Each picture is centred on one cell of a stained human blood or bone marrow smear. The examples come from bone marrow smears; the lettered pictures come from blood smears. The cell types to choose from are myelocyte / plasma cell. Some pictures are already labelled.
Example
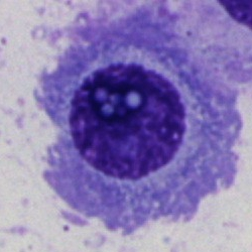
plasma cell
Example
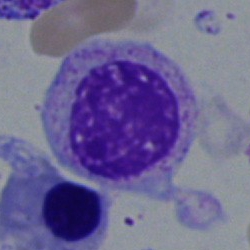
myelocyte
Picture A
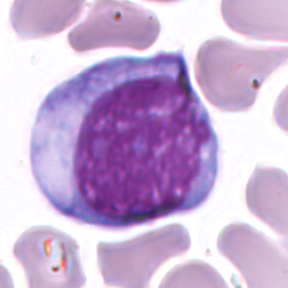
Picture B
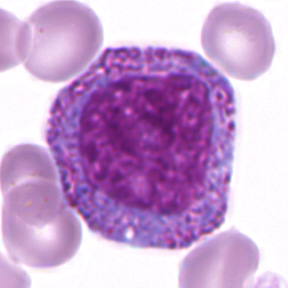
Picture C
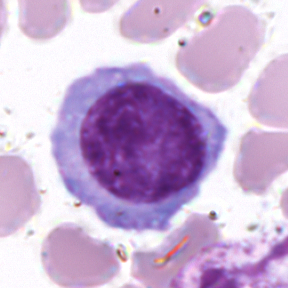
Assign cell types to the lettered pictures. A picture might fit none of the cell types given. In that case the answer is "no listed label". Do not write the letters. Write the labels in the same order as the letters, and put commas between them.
plasma cell, no listed label, plasma cell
